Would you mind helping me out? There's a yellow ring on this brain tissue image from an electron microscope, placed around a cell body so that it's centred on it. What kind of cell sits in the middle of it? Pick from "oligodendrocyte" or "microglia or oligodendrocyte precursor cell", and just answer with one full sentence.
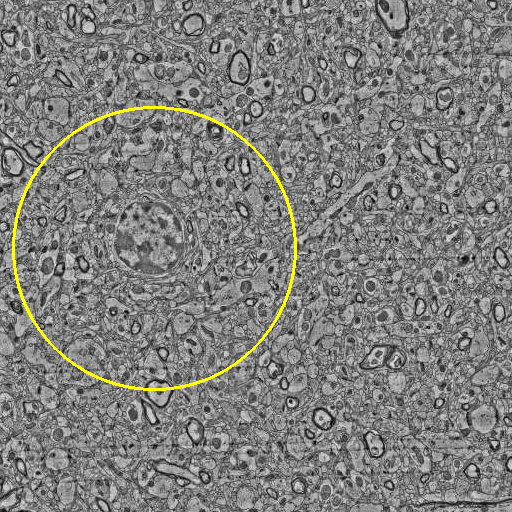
What sits in the middle of that yellow ring is a microglial cell or oligodendrocyte precursor cell, from your choices.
